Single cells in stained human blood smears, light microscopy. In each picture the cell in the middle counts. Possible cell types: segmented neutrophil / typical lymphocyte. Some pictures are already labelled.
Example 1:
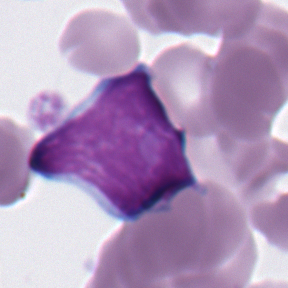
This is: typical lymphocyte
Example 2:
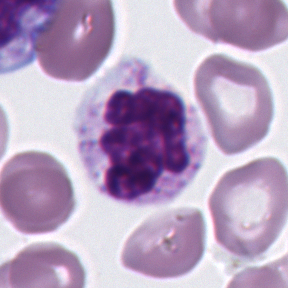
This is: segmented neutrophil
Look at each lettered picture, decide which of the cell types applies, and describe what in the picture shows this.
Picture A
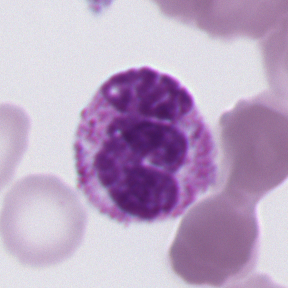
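segmented neutrophil. Evidence: The nucleus is divided into several lobes.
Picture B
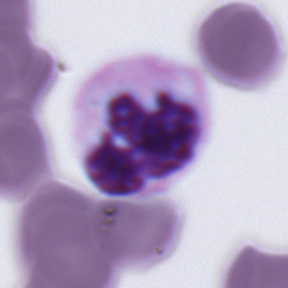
segmented neutrophil. Evidence: The cytoplasm is pale pink.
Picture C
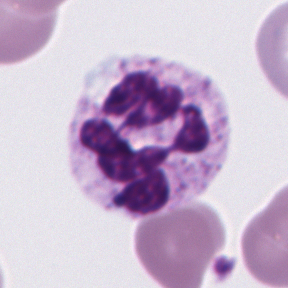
segmented neutrophil. Evidence: The cytoplasm is plentiful and pale pinkish-lilac.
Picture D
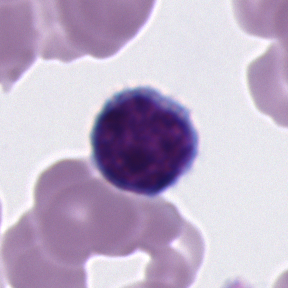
typical lymphocyte. Evidence: Only a very thin rim of cytoplasm shows around the nucleus.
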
